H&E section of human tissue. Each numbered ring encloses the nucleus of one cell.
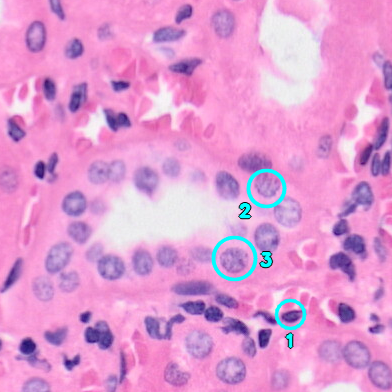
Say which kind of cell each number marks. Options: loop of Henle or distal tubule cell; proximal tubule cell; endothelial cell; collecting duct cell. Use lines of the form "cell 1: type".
cell 1: endothelial cell
cell 2: collecting duct cell
cell 3: collecting duct cell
